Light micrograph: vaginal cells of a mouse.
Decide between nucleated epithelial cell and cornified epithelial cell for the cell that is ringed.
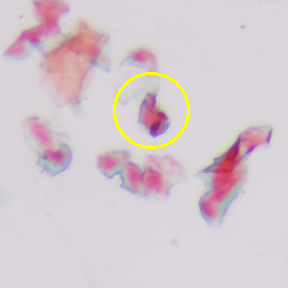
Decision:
I take the ringed cell for a cornified epithelial cell.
